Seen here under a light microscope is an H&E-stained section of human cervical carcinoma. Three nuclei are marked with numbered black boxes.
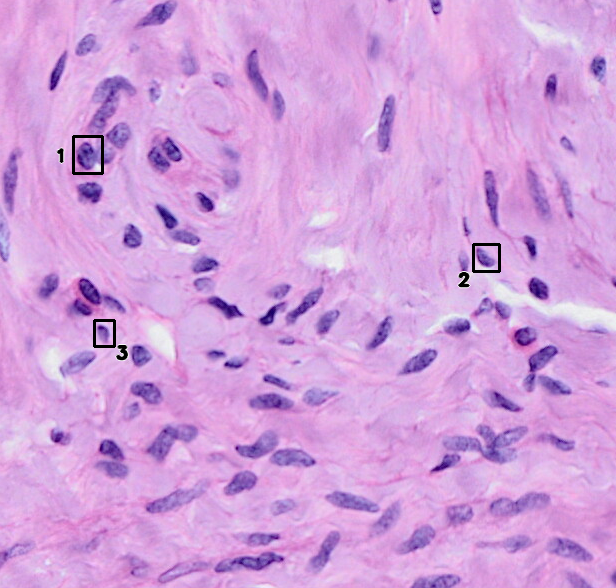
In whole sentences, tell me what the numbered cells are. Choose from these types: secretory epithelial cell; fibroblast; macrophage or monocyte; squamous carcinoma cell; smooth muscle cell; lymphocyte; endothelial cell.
Cell 1 is an endothelial cell, cell 2 is a fibroblast and cell 3 is a fibroblast.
